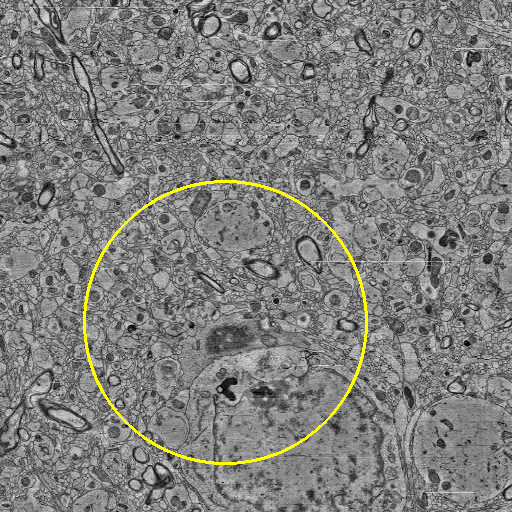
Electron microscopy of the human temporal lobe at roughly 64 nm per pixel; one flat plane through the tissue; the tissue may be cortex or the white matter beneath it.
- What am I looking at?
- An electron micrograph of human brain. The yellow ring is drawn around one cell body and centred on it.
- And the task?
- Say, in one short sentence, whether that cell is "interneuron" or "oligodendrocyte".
The cell in the middle of the ring is an oligodendrocyte.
